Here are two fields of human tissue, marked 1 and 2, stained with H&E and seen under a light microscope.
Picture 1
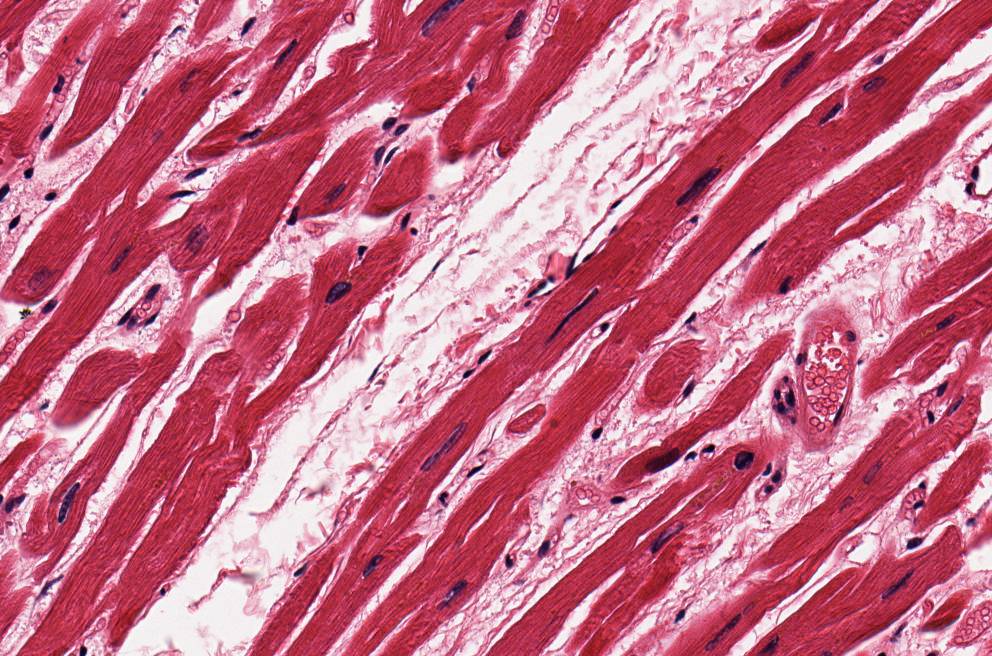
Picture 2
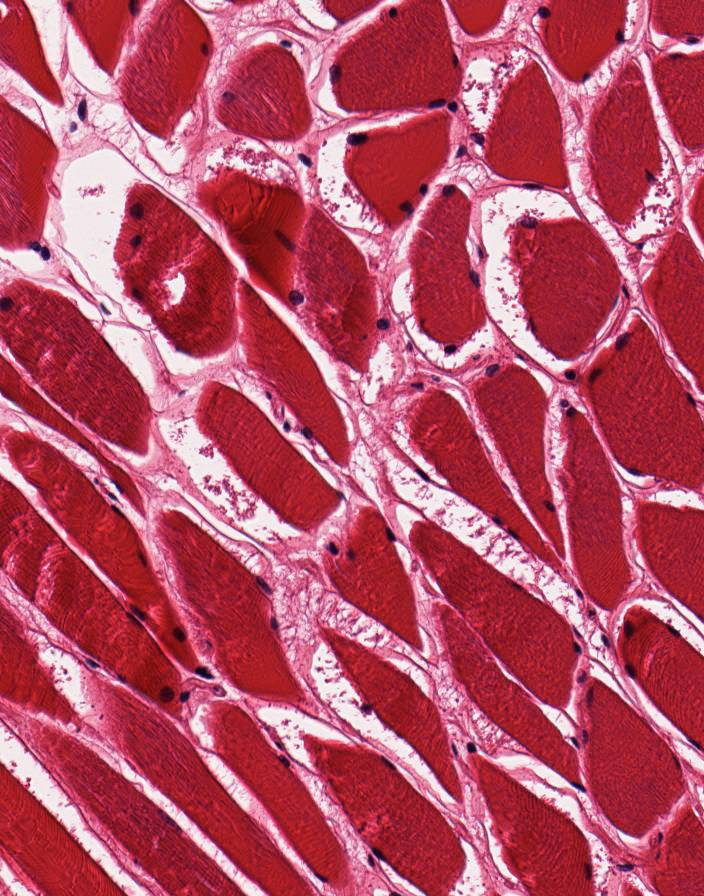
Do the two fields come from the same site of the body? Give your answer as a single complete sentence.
No, they differ: picture 1 comes from the left ventricle of the heart, and picture 2 comes from skeletal muscle.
